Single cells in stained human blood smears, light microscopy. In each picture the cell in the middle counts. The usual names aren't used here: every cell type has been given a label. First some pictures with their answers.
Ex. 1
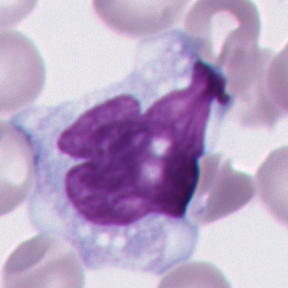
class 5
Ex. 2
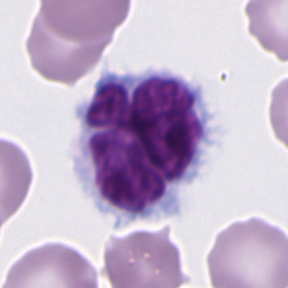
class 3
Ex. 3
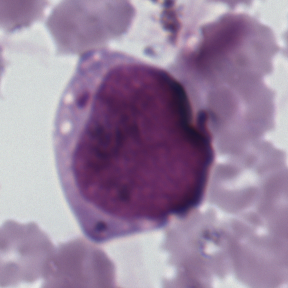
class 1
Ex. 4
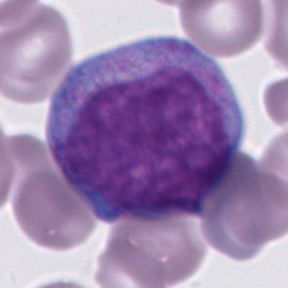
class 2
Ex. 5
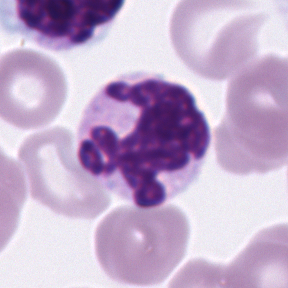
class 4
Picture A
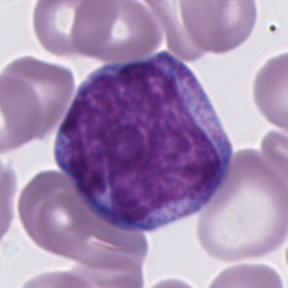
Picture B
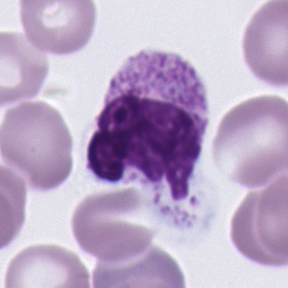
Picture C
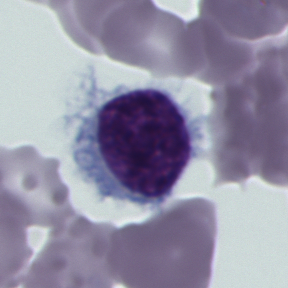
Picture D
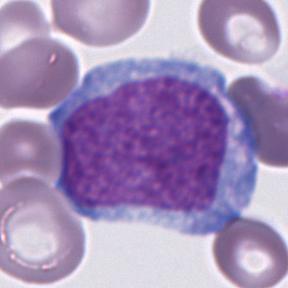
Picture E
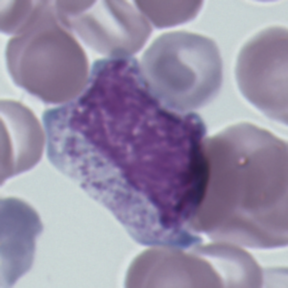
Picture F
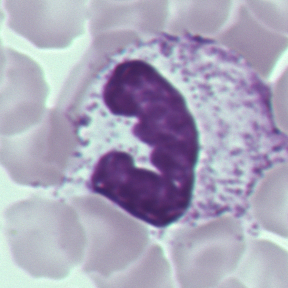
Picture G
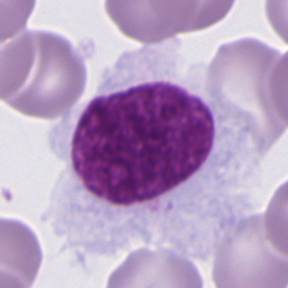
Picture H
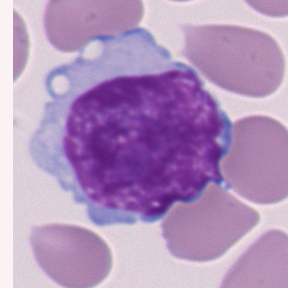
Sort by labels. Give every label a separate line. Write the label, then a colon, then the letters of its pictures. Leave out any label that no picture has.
class 3: C, G
class 1: H
class 2: A, D, E
class 4: B, F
